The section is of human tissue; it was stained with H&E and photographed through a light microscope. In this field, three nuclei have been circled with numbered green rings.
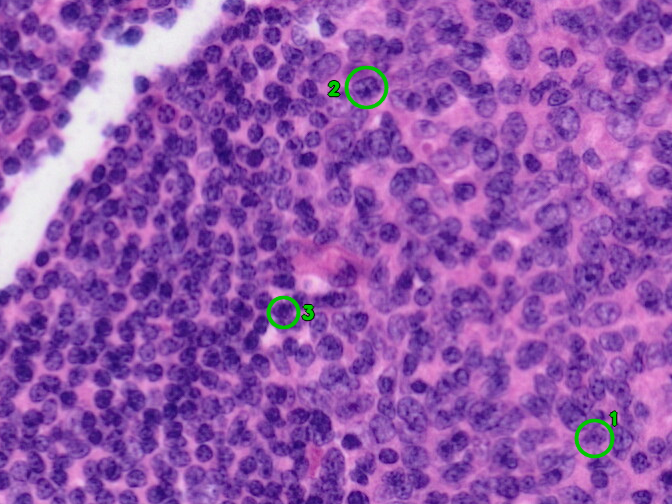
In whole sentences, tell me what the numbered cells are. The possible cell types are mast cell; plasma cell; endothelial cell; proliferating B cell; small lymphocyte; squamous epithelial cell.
Cell 1 is a proliferating B cell, cell 2 is a proliferating B cell and cell 3 is a small lymphocyte.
